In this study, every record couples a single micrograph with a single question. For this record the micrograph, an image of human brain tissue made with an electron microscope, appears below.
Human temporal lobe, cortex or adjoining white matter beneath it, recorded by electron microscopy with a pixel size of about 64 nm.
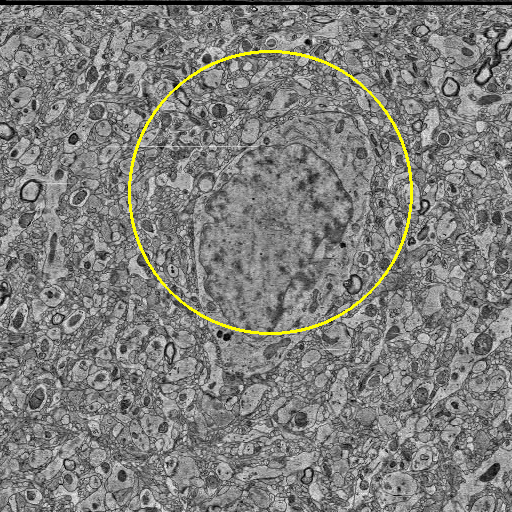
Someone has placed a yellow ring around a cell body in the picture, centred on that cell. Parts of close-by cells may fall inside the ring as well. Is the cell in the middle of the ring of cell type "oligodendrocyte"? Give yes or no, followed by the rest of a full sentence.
No, the cell centred in the ring shown in the picture has a different cell type.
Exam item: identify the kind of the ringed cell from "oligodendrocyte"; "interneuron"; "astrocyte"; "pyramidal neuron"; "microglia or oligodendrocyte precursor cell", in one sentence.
The ringed cell in this picture is, instead, an interneuron.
